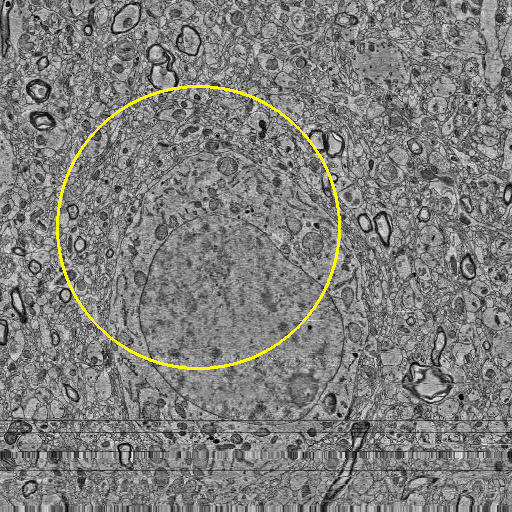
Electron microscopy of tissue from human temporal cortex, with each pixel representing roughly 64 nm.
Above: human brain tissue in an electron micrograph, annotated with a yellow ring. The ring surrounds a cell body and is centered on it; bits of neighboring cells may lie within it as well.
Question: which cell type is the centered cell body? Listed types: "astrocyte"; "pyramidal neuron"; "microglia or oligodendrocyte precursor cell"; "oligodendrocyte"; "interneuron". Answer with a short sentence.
The centered cell body is an interneuron.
